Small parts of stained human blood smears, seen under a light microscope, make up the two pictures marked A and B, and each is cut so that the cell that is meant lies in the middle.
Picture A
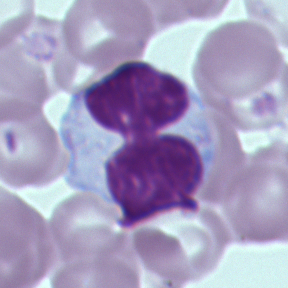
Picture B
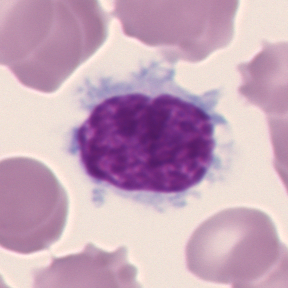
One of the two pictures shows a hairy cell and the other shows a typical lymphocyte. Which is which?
A: typical lymphocyte
B: hairy cell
